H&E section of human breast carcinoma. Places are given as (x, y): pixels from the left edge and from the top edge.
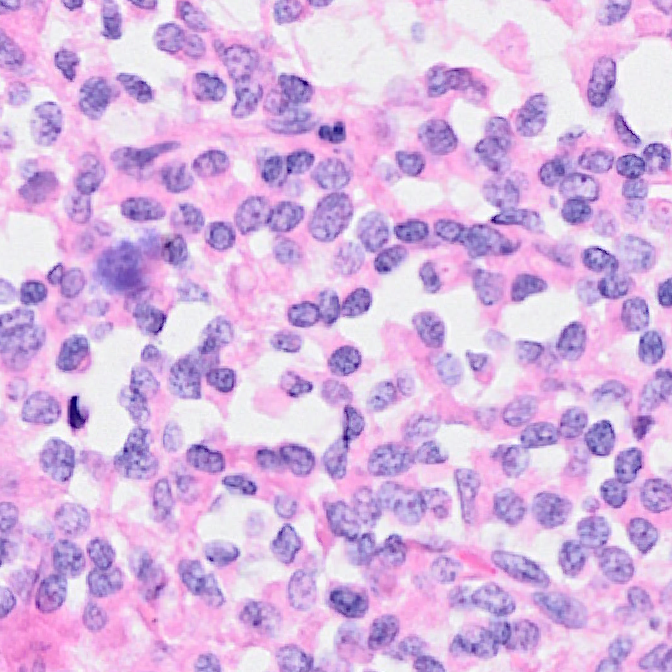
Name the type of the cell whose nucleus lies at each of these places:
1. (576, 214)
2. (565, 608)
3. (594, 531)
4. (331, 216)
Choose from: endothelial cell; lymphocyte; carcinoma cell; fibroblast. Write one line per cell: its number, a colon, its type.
1: carcinoma cell
2: endothelial cell
3: carcinoma cell
4: carcinoma cell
